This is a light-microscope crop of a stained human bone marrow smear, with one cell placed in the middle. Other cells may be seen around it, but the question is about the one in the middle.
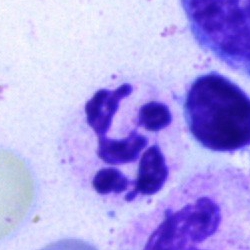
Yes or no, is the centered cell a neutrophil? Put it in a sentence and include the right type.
Yes, a neutrophil is the cell positioned in the middle of the field.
